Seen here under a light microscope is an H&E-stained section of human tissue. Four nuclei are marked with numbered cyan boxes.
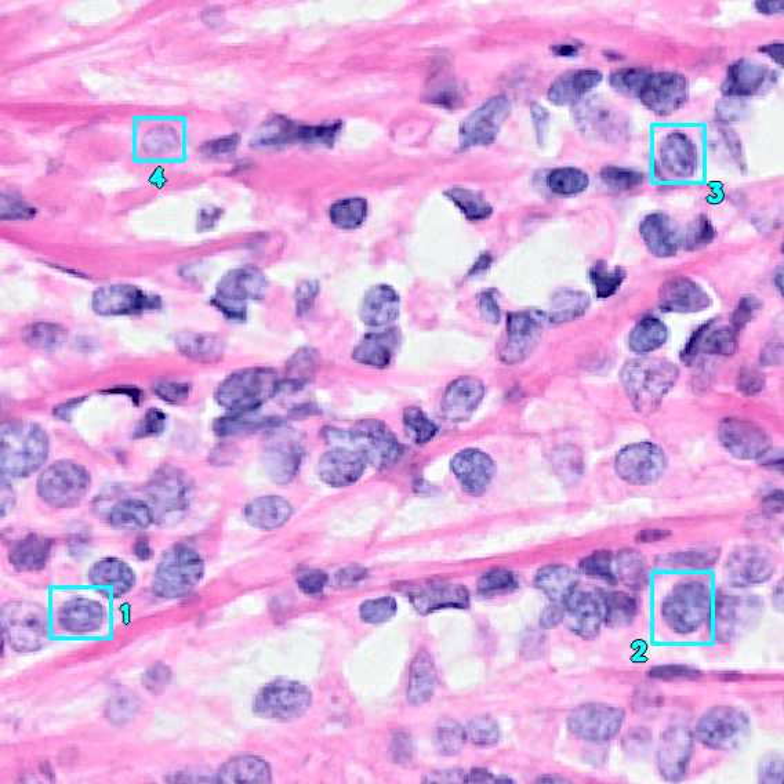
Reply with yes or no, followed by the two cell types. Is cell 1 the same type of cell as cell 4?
No, cell 1 is a carcinoma cell and cell 4 is an endothelial cell.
